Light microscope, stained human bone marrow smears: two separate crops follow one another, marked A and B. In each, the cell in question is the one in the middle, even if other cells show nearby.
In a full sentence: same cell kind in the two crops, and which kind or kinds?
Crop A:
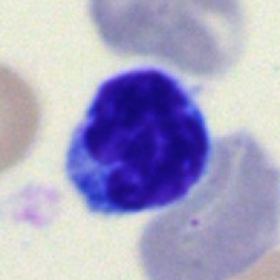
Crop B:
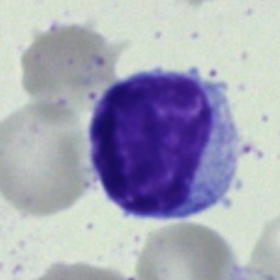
Yes, both crops in this set show lymphocytes.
